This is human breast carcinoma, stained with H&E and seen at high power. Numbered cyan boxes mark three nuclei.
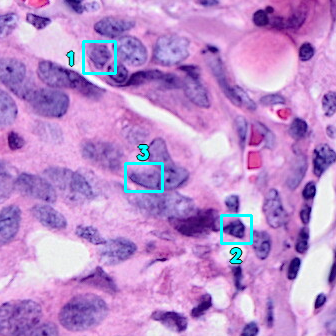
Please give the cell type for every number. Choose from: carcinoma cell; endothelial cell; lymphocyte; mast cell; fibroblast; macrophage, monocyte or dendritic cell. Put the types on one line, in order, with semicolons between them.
carcinoma cell; lymphocyte; carcinoma cell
